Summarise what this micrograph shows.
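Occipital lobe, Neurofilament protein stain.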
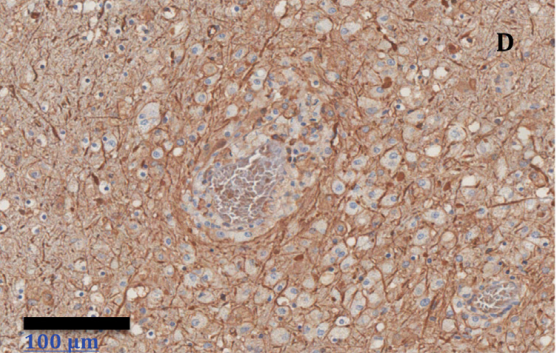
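Brain tissue around a small vessel shows a network of fine brown axons running through the area and curving around the vessel wall. Between the fibres lie many pale, rounded cell profiles with small blue nuclei.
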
